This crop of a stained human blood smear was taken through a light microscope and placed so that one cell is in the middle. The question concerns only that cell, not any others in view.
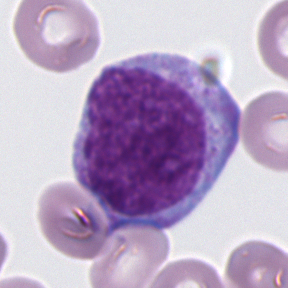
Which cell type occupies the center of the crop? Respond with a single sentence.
Standing at the centre of this crop is an atypical promyelocyte.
